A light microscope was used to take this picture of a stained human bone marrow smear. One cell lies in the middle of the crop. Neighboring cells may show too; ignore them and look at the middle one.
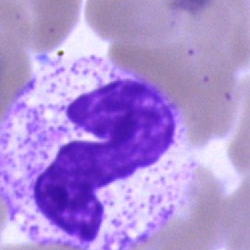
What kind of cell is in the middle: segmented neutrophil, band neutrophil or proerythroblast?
band neutrophil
